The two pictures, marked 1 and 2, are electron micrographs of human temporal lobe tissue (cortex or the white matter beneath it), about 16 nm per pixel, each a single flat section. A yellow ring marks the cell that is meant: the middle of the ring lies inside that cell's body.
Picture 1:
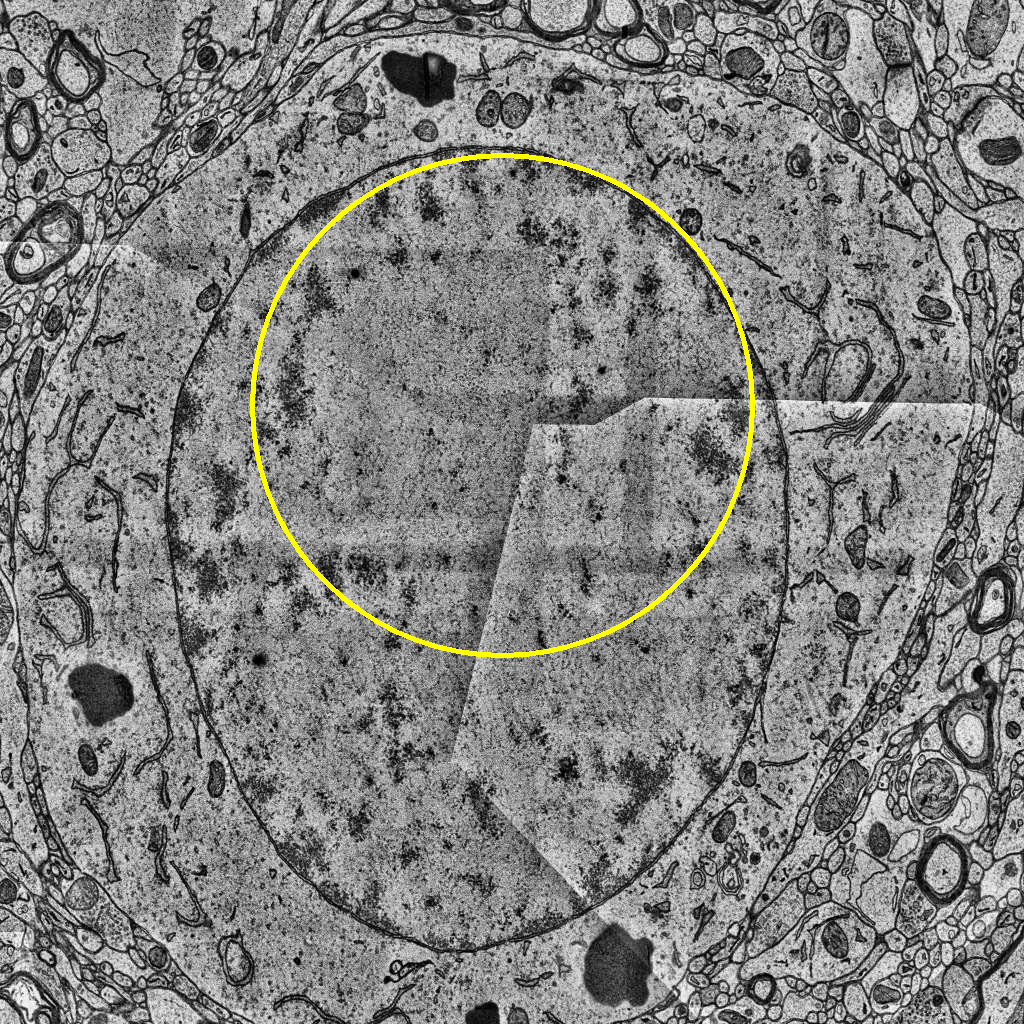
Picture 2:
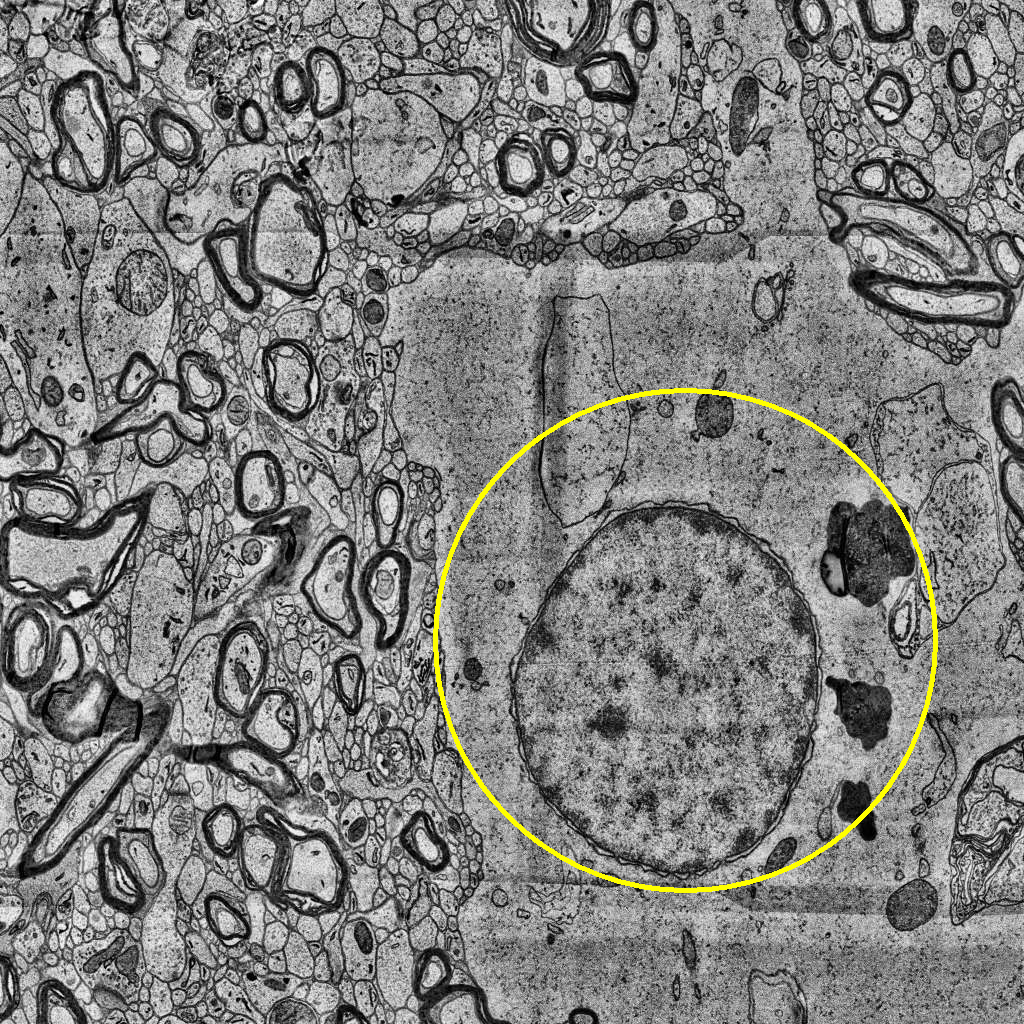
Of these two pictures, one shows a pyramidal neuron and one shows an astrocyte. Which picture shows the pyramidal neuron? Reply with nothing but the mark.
1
